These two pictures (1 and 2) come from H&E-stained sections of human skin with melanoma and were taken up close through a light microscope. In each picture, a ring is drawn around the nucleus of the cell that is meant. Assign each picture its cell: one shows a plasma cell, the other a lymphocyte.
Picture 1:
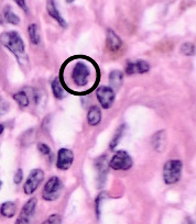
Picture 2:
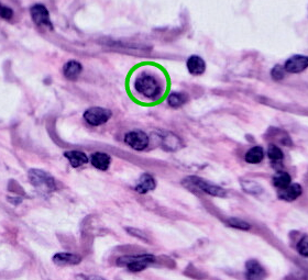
1: lymphocyte
2: plasma cell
